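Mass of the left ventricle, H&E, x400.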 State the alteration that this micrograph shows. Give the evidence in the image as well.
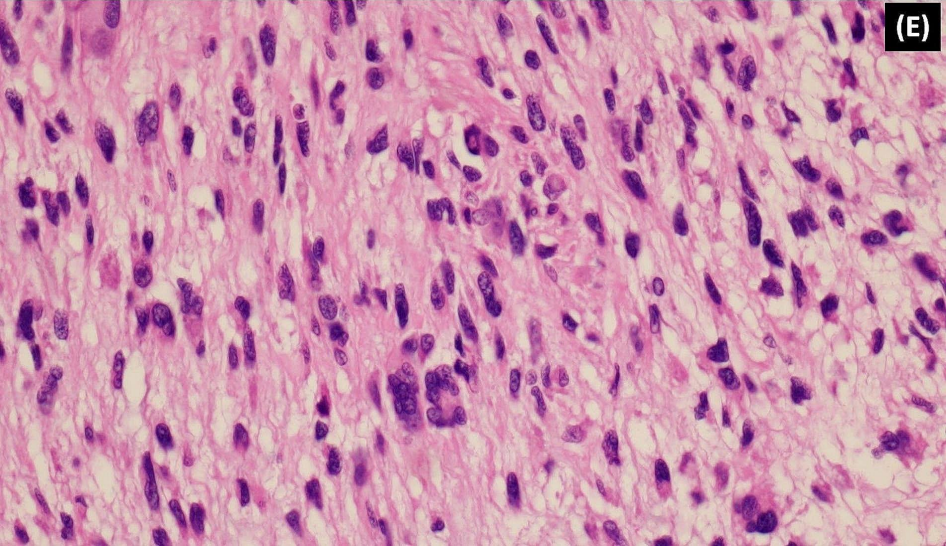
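Many nuclei are dark and hyperchromatic, some spindle-shaped and some irregular. Cells lie in a loose, pale pink, finely vacuolated background.
High-grade sarcoma.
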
